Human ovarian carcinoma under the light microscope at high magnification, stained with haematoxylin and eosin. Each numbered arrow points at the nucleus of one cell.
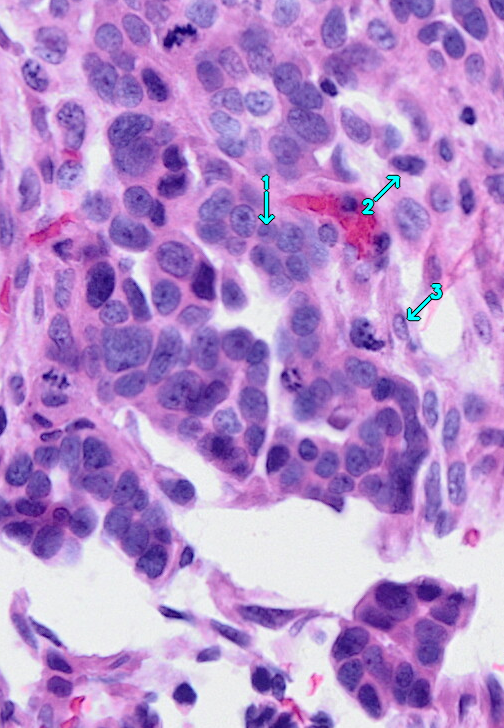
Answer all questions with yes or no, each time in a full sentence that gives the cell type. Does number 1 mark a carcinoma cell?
Yes, of the numbered cells, number 1 is a carcinoma cell.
